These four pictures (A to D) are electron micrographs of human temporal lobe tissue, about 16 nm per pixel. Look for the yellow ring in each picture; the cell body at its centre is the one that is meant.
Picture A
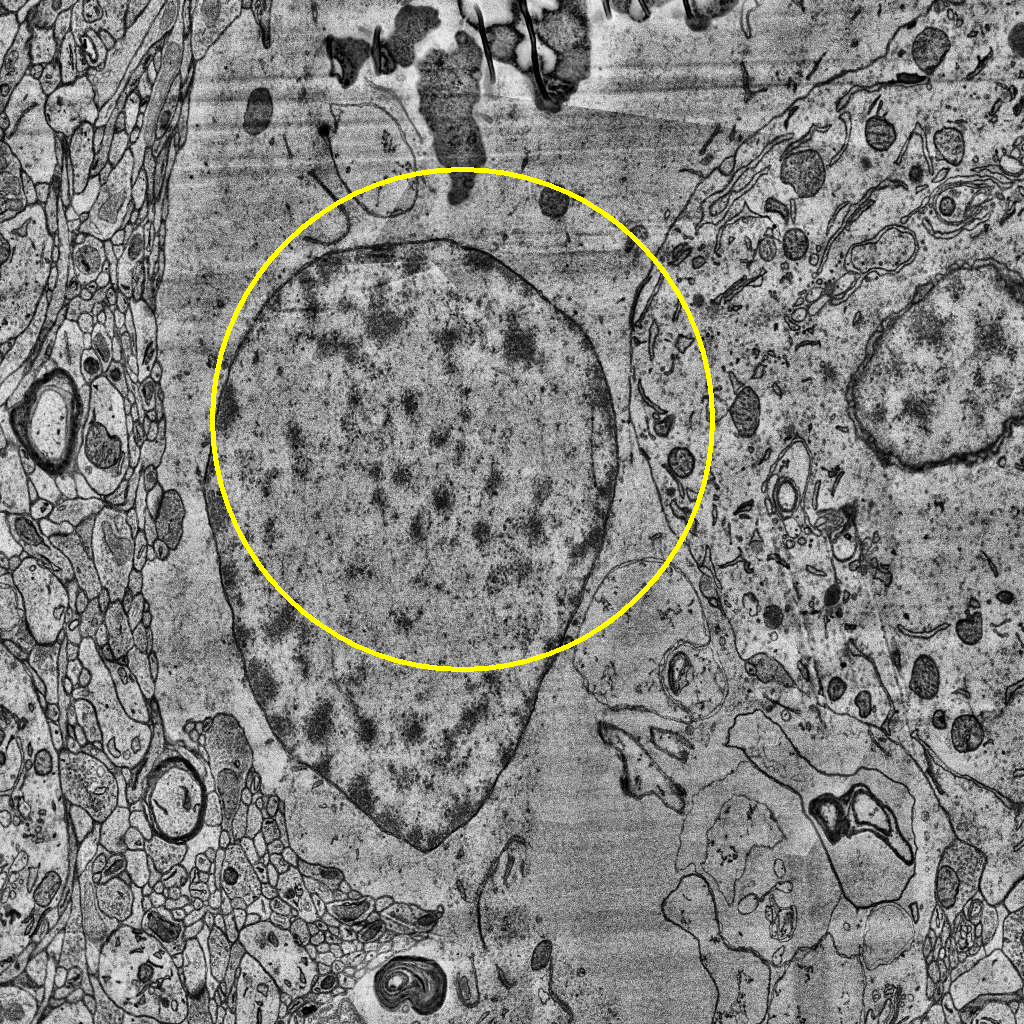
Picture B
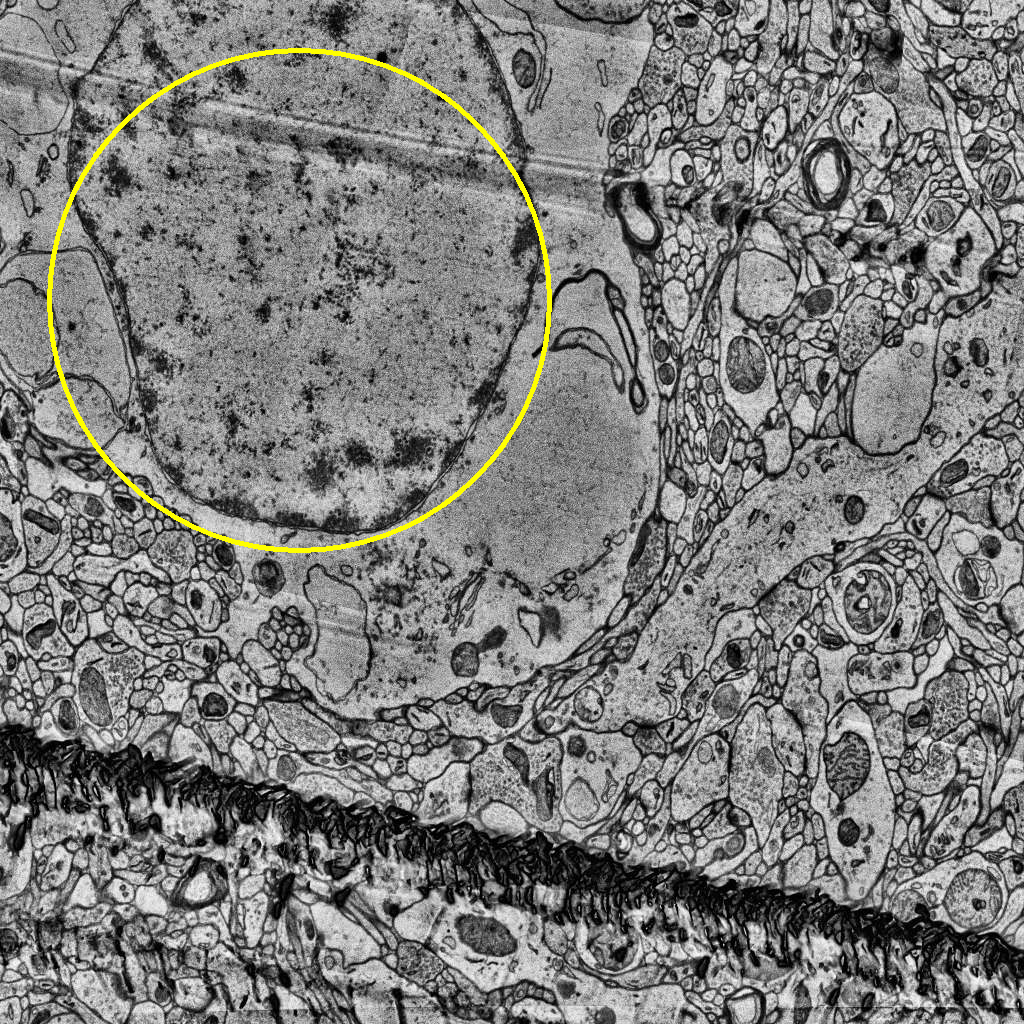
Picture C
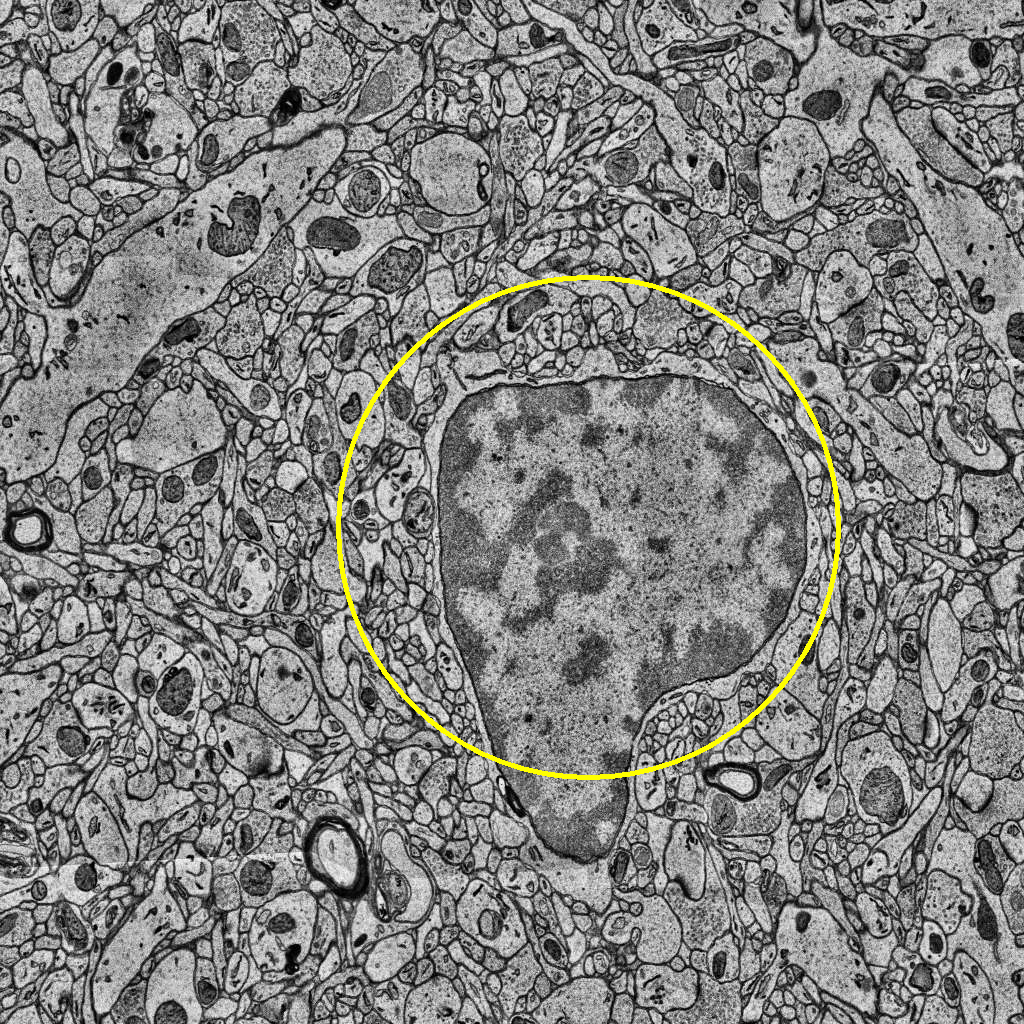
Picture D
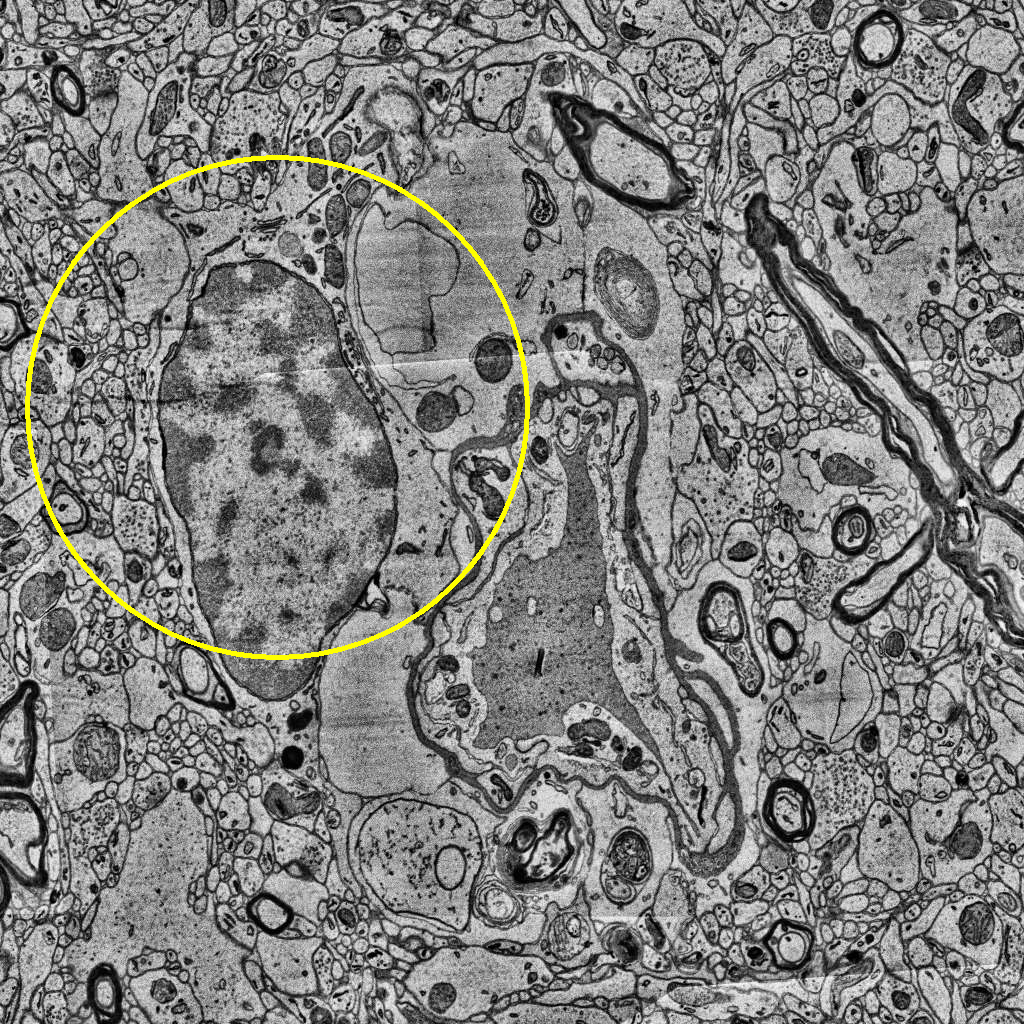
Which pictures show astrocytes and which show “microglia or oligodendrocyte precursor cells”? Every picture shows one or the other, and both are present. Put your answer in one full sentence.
Pictures A and B show astrocytes; pictures C and D show “microglia or oligodendrocyte precursor cells”.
